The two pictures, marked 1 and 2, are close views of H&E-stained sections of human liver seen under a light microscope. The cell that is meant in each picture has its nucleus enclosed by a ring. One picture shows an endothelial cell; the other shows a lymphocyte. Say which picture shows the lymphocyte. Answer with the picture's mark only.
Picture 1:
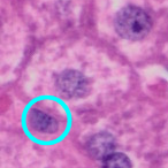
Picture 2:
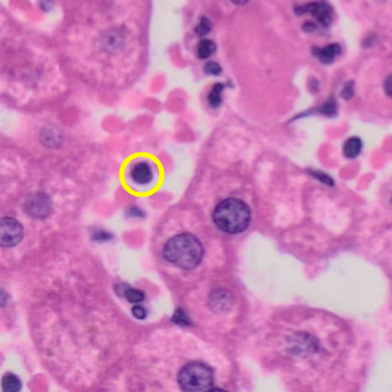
2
